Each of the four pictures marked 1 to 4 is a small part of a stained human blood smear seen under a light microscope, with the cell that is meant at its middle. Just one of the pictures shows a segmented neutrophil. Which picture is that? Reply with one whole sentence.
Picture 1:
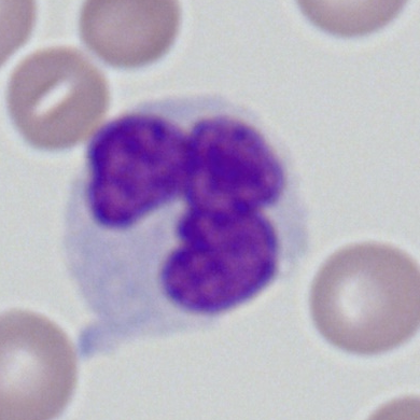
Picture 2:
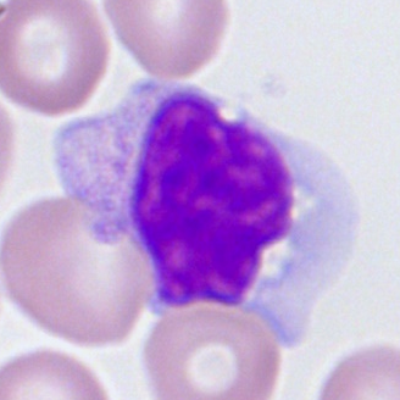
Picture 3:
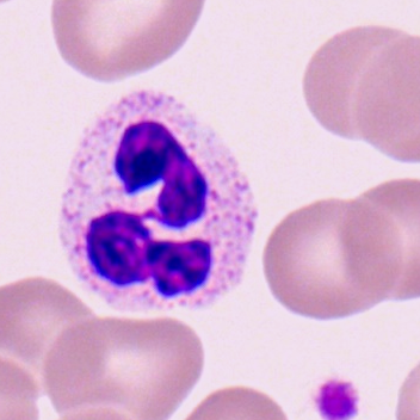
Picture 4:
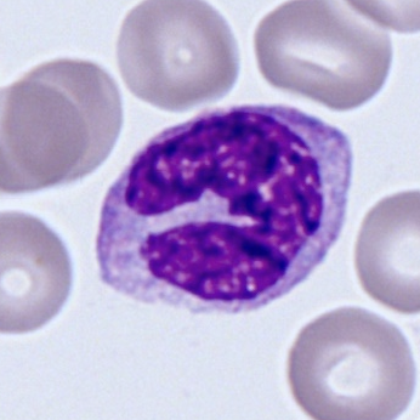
The segmented neutrophil is the one in picture 3.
